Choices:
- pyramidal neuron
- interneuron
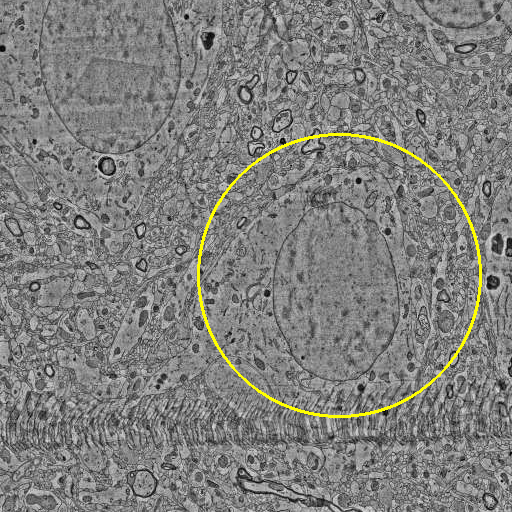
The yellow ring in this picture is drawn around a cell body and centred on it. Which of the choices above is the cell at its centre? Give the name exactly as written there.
pyramidal neuron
